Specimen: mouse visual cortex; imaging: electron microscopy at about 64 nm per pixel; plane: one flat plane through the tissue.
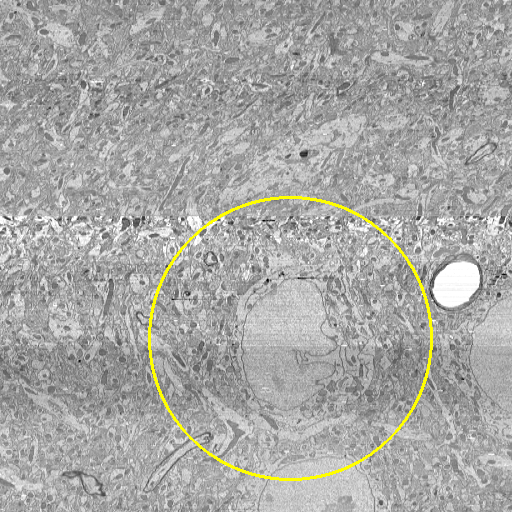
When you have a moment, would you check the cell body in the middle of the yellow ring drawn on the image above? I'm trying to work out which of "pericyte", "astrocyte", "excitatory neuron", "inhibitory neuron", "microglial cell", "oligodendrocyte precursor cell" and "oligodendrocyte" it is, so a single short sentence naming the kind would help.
This cell body belongs to an inhibitory neuron.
